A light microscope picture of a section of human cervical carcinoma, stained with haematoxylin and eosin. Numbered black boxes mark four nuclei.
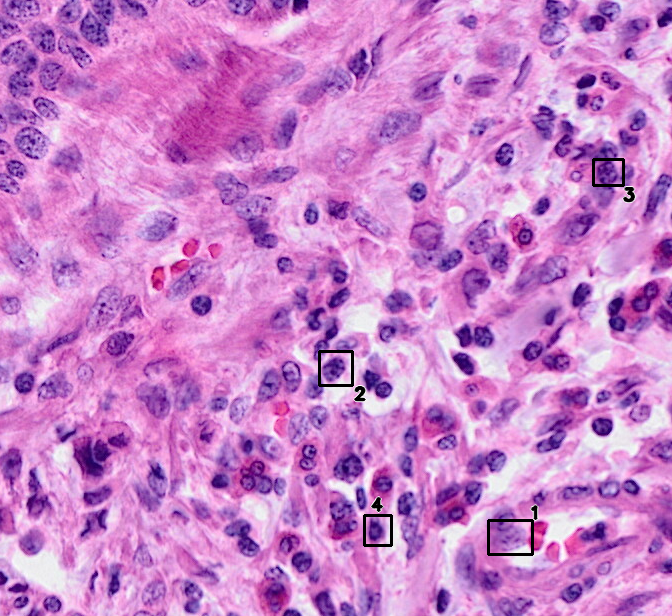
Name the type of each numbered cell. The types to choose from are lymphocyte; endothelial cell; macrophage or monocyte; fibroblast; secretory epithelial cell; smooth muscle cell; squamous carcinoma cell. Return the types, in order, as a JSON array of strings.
["endothelial cell", "lymphocyte", "lymphocyte", "lymphocyte"]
